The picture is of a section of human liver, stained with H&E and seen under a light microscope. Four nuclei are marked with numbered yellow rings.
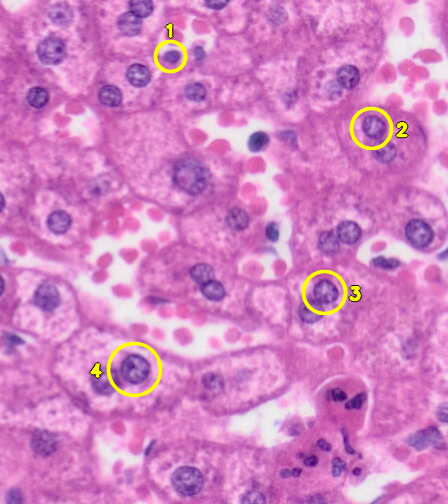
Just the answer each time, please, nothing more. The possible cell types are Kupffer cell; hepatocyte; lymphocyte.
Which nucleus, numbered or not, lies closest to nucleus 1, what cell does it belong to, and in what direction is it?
a Kupffer cell; to the right of nucleus 1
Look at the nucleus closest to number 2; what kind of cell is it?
hepatocyte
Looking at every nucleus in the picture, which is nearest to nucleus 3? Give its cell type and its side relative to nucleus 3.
a hepatocyte, below and to the left of nucleus 3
